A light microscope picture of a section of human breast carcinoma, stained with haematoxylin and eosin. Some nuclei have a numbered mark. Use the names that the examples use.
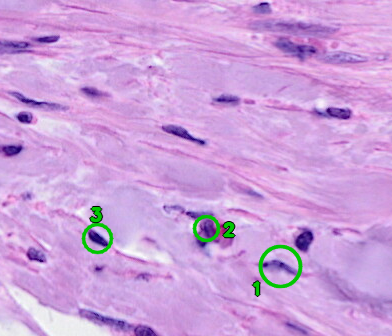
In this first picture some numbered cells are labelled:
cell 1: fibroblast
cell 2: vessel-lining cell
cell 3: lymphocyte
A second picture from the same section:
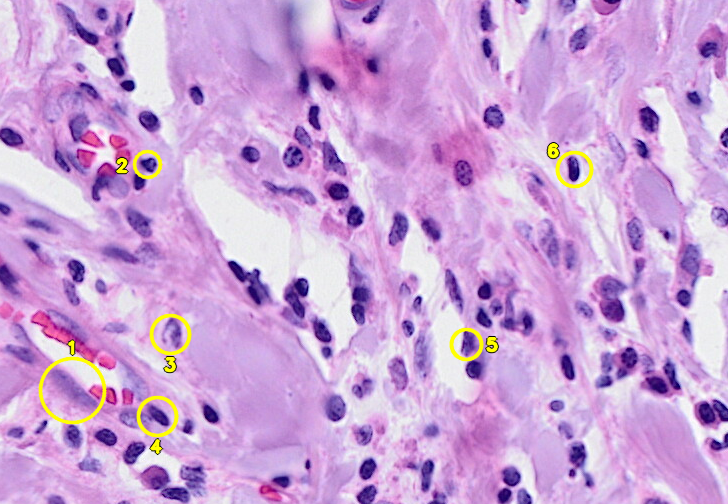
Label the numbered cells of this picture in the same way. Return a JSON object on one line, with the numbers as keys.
{"1": "vessel-lining cell", "2": "lymphocyte", "3": "fibroblast", "4": "lymphocyte", "5": "lymphocyte", "6": "lymphocyte"}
